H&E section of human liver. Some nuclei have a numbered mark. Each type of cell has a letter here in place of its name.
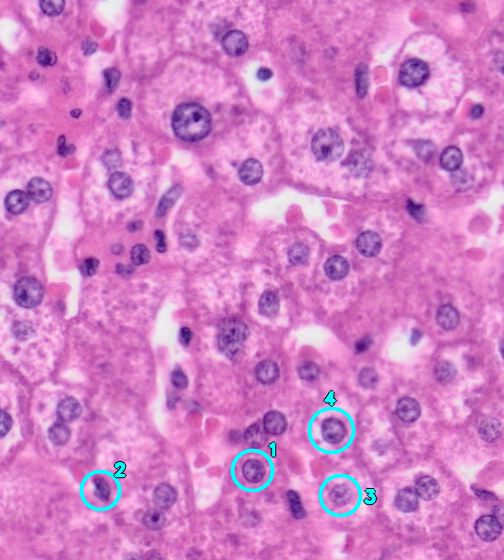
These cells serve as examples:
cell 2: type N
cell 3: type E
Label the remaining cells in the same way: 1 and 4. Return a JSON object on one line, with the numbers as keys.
{"1": "type E", "4": "type E"}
